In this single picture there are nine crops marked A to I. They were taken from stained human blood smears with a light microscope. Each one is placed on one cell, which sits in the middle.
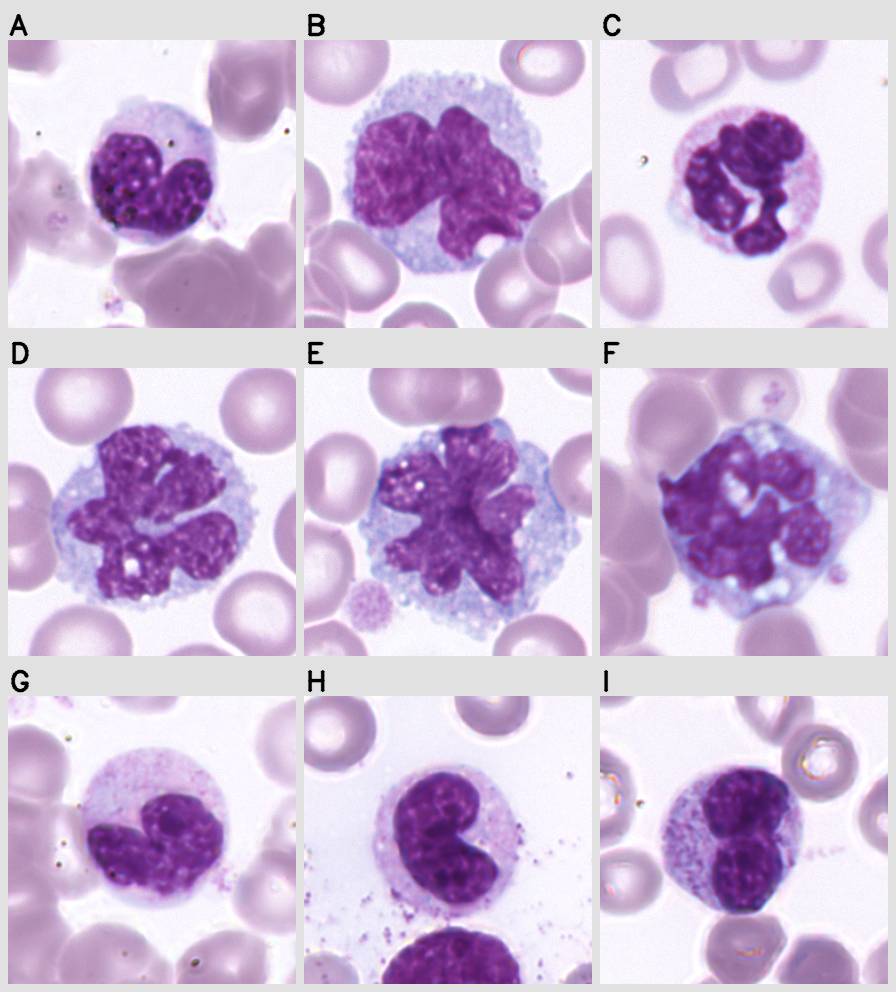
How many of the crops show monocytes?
4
